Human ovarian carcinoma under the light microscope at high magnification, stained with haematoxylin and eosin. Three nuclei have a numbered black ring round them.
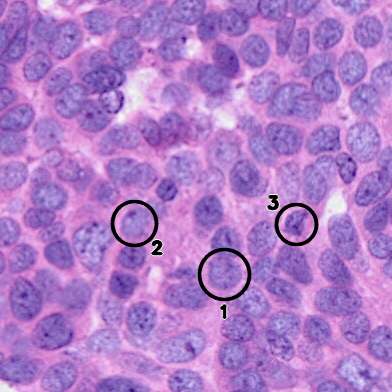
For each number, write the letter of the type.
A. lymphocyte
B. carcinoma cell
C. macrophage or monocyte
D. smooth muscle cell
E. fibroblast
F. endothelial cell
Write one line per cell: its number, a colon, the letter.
1: B
2: B
3: C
